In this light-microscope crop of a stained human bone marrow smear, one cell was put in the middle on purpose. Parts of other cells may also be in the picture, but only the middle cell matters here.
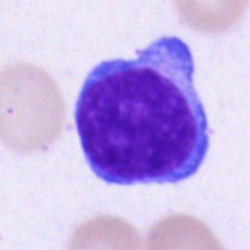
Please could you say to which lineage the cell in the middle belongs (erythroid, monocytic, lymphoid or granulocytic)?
lymphoid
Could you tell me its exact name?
lymphocyte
